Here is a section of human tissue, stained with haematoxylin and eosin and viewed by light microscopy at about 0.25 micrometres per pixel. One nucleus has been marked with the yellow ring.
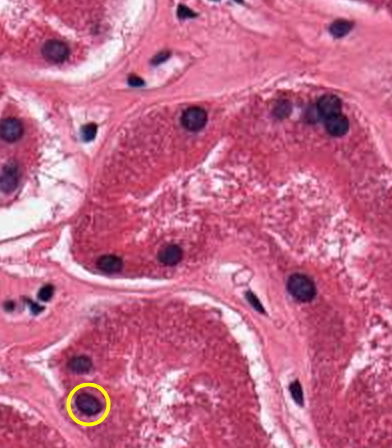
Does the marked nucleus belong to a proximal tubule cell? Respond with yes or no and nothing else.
yes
